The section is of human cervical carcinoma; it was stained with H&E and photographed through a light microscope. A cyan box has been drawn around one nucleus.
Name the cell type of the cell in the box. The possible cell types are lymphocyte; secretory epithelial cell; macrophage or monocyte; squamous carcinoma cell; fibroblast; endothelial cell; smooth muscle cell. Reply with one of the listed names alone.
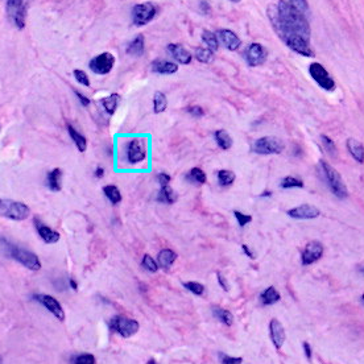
fibroblast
